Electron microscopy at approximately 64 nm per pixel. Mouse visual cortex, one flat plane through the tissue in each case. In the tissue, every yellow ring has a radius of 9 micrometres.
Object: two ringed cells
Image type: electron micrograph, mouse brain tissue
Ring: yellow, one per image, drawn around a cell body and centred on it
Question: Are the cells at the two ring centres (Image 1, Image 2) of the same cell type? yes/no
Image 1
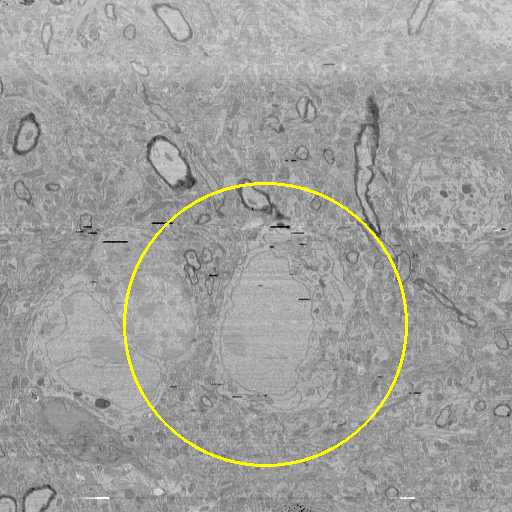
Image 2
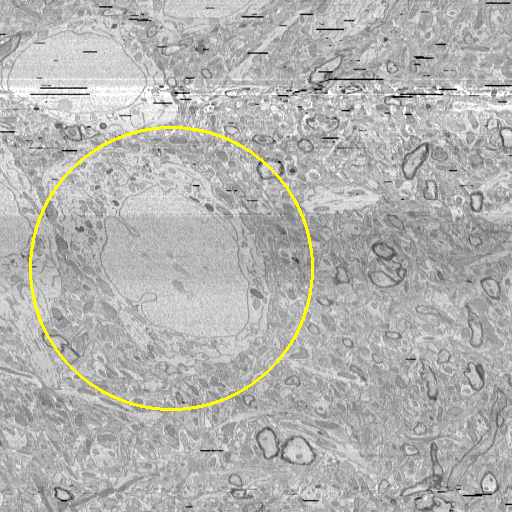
yes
